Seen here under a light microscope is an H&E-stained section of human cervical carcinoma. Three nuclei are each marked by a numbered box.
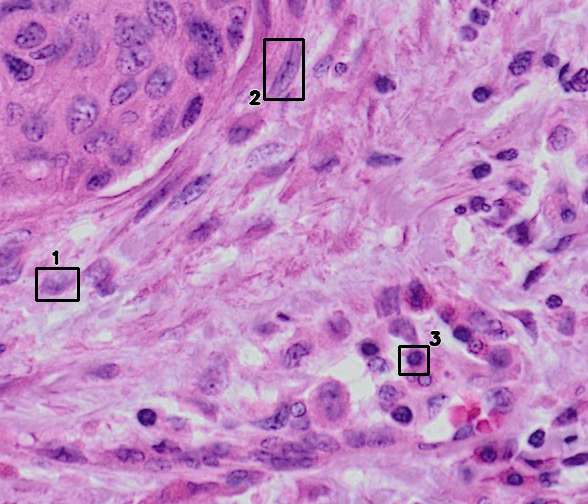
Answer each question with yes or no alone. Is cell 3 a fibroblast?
no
